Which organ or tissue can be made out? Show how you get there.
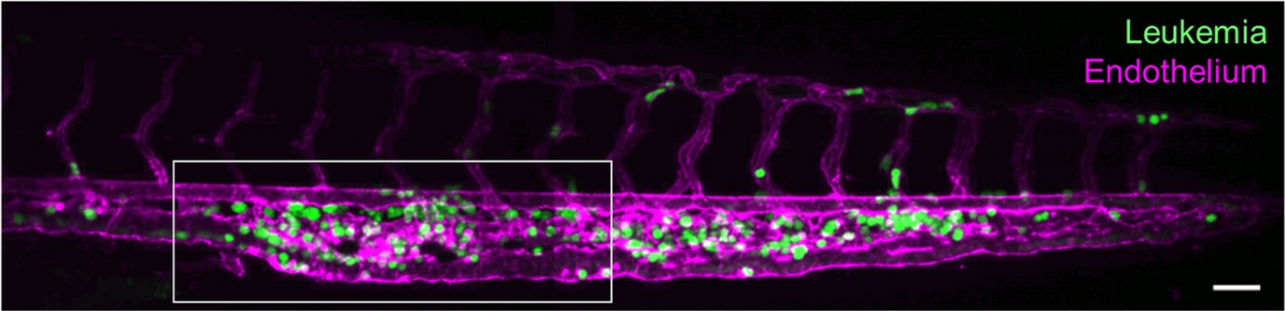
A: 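Caudal part of the larva. An elongated body segment tapering toward the right end. Regularly spaced vertical vessels run upward from a horizontal vessel along the lower trunk. A dense vascular network lies along the ventral side.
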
